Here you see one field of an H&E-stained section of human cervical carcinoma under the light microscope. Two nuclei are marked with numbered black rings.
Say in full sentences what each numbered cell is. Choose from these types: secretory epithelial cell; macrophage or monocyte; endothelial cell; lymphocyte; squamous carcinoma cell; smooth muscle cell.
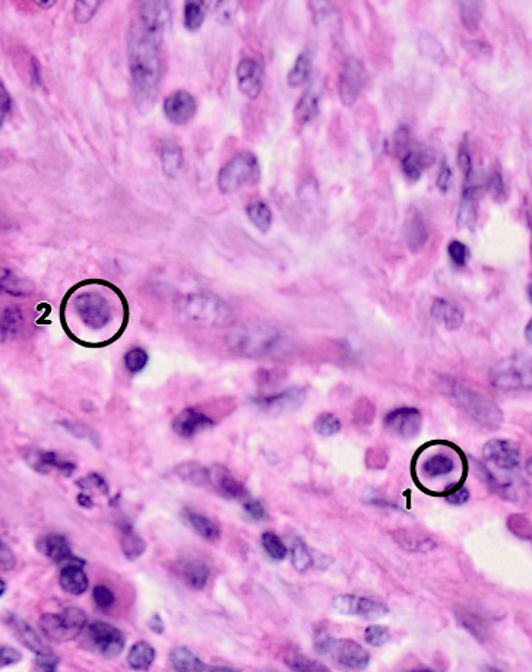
Cell 1 is a lymphocyte. Cell 2 is a macrophage or monocyte.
